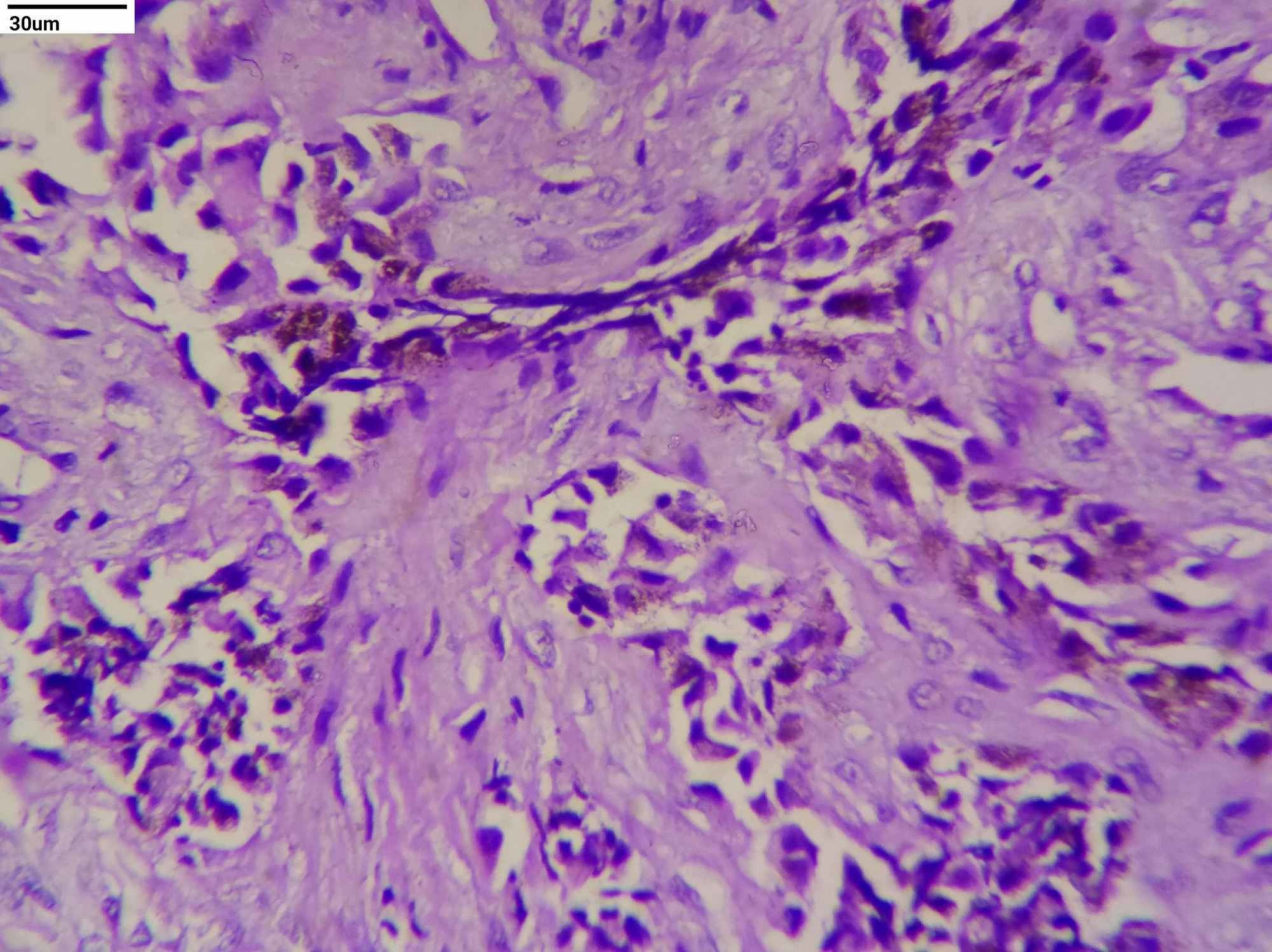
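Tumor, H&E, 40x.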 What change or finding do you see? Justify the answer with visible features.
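Clusters of small cells with dark, densely stained nuclei lie within clear spaces. Between the clusters are larger cells with pale pink cytoplasm and paler oval nuclei. The answer: two distinct types of cells.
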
